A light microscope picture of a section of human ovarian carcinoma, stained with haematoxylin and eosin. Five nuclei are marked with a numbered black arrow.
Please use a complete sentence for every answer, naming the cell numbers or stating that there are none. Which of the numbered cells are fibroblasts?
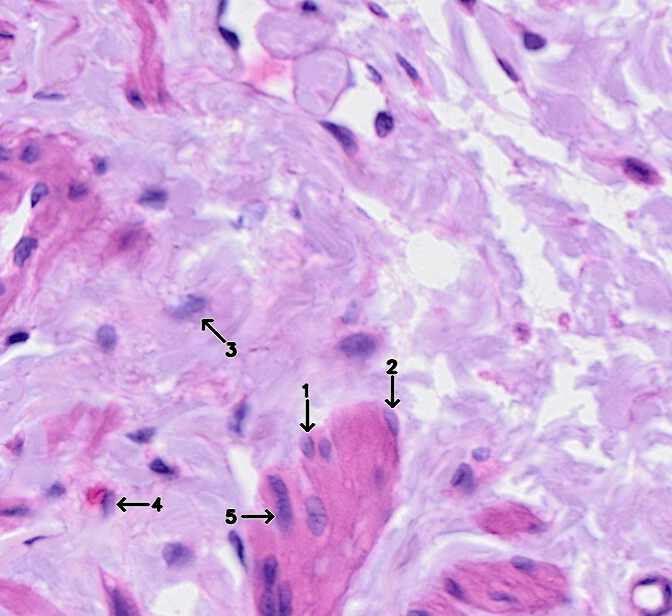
Of the numbered cells, only cell 3 is a fibroblast.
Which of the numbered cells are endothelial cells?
Response: cell 4 is an endothelial cell, and no other numbered cell is.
